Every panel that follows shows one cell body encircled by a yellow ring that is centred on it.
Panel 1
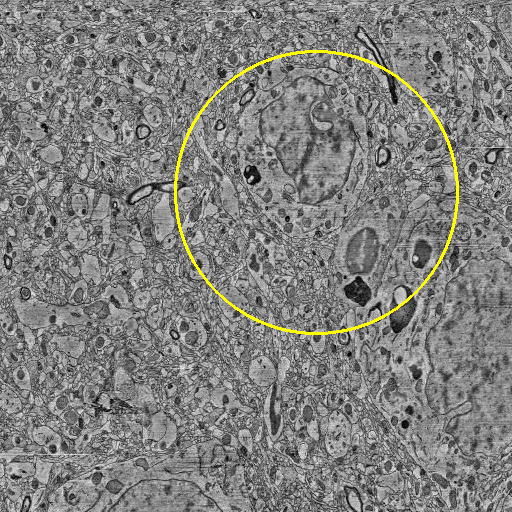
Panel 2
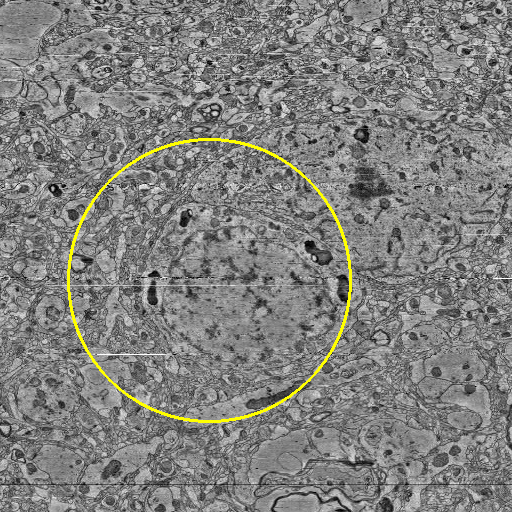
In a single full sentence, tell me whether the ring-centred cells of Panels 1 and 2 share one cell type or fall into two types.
In Panel 1 and Panel 2, the cells at the ring centres share one cell type.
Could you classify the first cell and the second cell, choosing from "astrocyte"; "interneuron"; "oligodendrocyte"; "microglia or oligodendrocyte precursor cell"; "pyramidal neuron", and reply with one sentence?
Each of the two cells is an interneuron.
